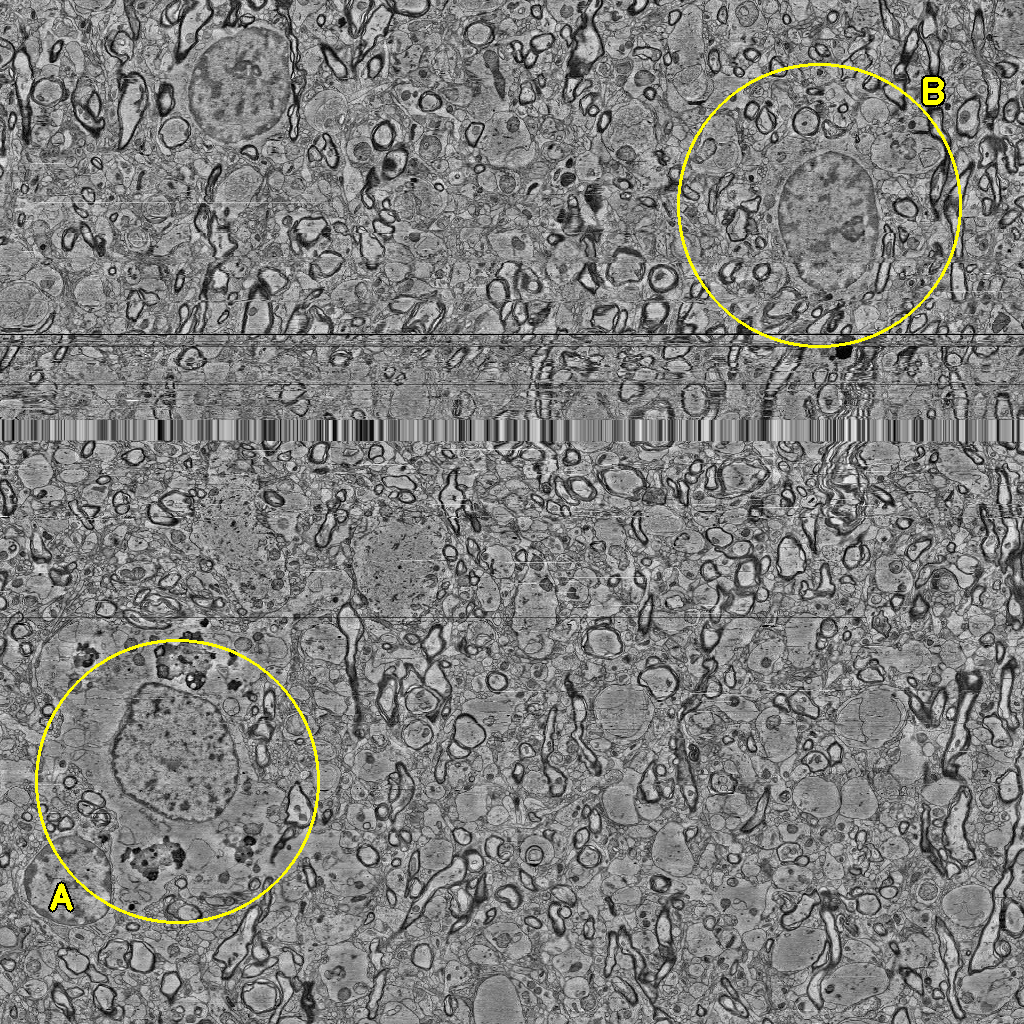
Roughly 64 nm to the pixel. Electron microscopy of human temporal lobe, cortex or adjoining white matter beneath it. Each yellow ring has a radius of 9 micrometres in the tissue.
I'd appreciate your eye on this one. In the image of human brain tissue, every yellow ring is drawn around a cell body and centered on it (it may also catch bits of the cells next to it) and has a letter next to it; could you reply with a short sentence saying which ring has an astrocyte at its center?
Ring A is centered on it.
